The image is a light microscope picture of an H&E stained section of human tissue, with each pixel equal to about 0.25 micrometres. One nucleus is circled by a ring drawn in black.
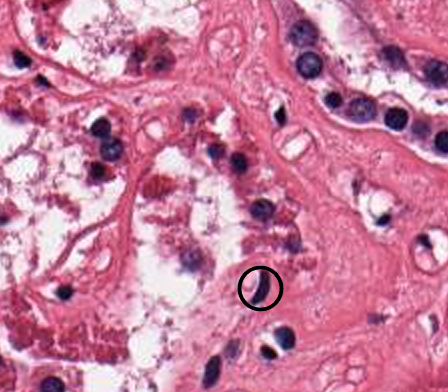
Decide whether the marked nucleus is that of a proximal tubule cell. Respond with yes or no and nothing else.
no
